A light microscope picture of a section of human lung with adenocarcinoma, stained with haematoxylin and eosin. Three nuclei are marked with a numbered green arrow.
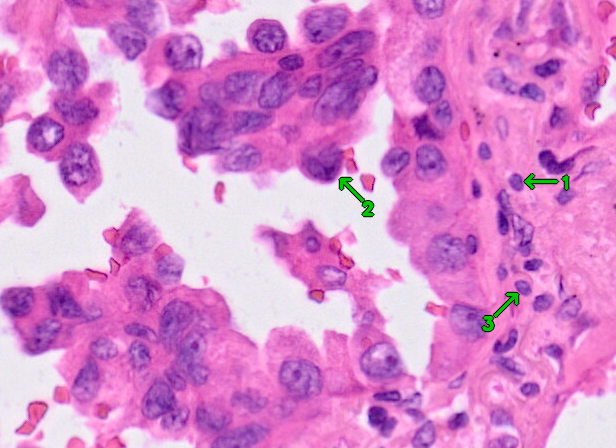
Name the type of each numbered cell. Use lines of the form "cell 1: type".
cell 1: lymphocyte
cell 2: carcinoma cell
cell 3: lymphocyte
